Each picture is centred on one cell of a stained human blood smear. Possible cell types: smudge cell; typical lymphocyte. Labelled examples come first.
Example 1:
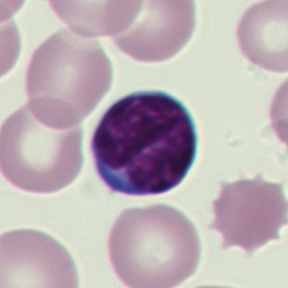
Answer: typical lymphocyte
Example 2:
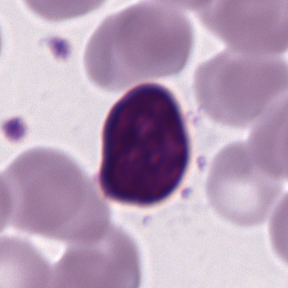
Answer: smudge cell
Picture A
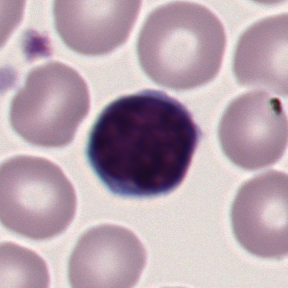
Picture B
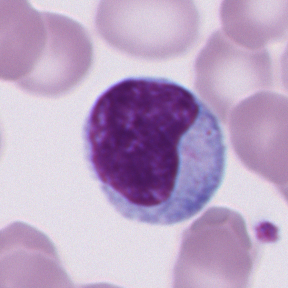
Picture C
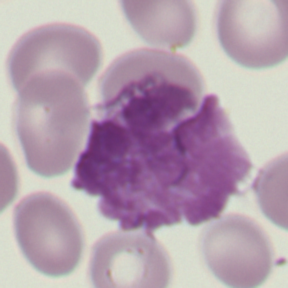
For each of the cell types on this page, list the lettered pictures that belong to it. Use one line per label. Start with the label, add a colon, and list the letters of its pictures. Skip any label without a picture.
smudge cell: C
typical lymphocyte: A, B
